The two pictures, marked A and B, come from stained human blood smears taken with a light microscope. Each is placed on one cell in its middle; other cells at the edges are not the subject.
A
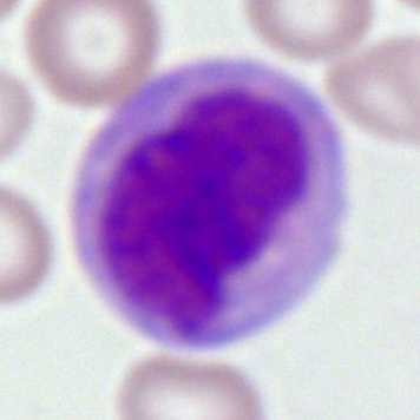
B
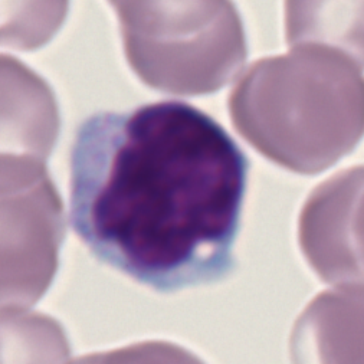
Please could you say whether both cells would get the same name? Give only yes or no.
no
